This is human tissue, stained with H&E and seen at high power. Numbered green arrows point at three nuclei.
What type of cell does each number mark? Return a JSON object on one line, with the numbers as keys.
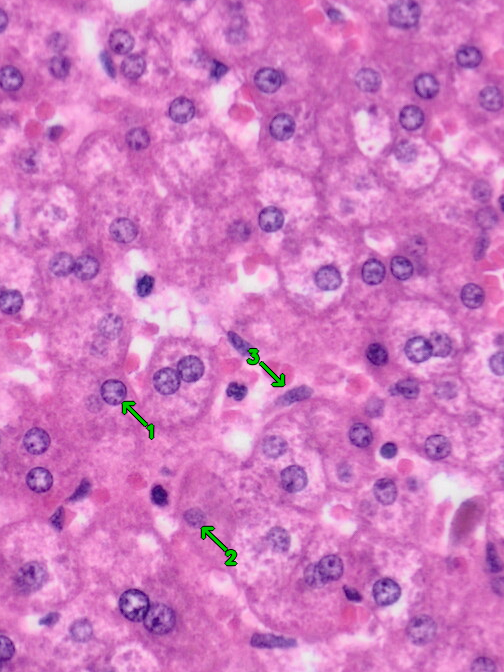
{"1": "hepatocyte", "2": "hepatocyte", "3": "Kupffer cell"}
